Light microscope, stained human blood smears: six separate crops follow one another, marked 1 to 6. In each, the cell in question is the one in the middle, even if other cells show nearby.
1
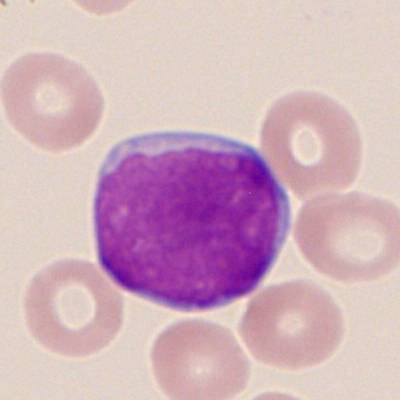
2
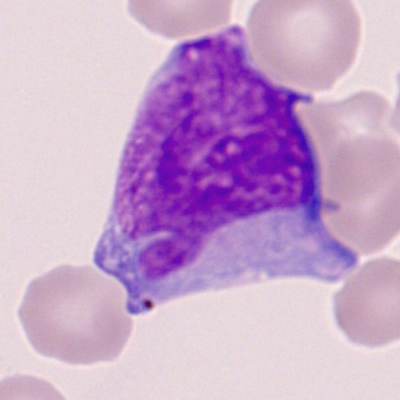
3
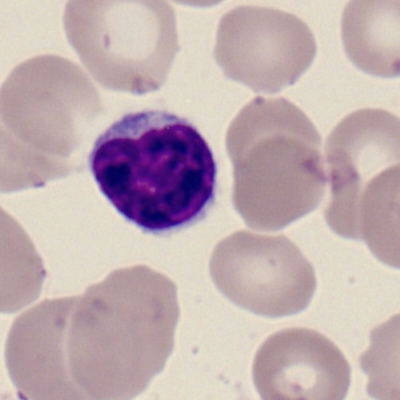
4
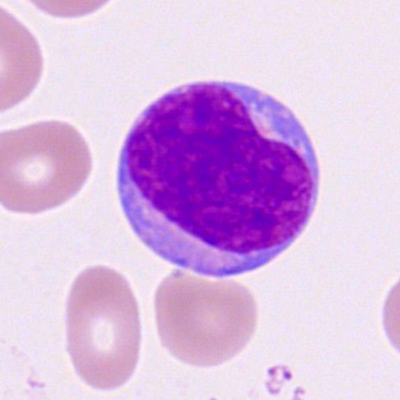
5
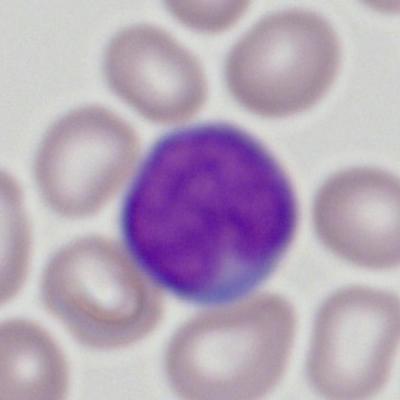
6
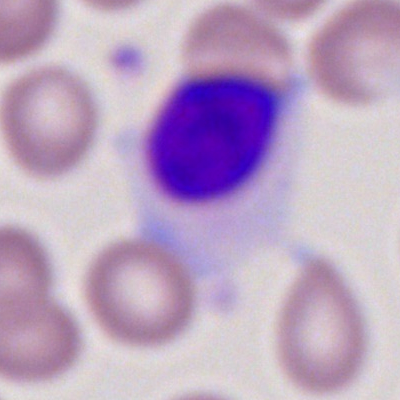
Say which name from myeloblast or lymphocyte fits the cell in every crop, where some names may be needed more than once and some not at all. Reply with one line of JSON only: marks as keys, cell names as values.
{"1": "myeloblast", "2": "myeloblast", "3": "lymphocyte", "4": "myeloblast", "5": "myeloblast", "6": "lymphocyte"}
